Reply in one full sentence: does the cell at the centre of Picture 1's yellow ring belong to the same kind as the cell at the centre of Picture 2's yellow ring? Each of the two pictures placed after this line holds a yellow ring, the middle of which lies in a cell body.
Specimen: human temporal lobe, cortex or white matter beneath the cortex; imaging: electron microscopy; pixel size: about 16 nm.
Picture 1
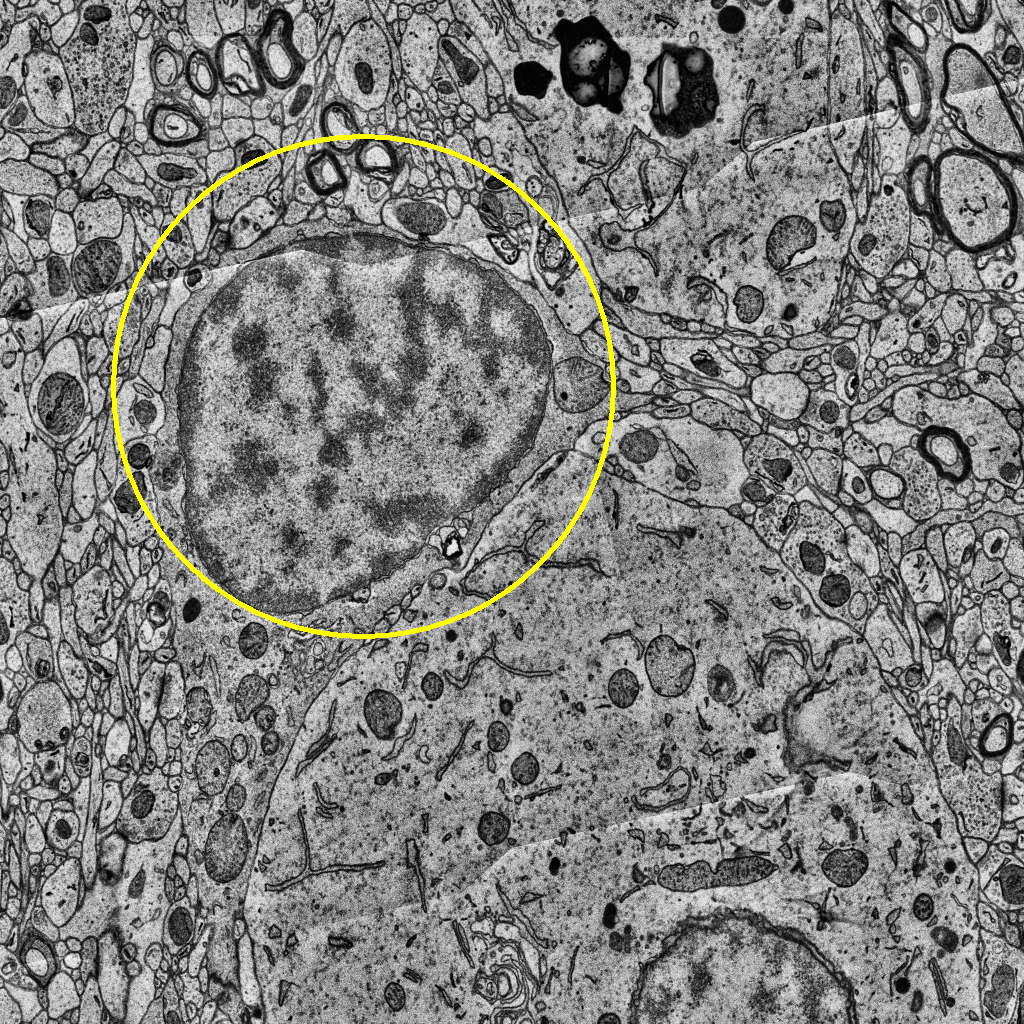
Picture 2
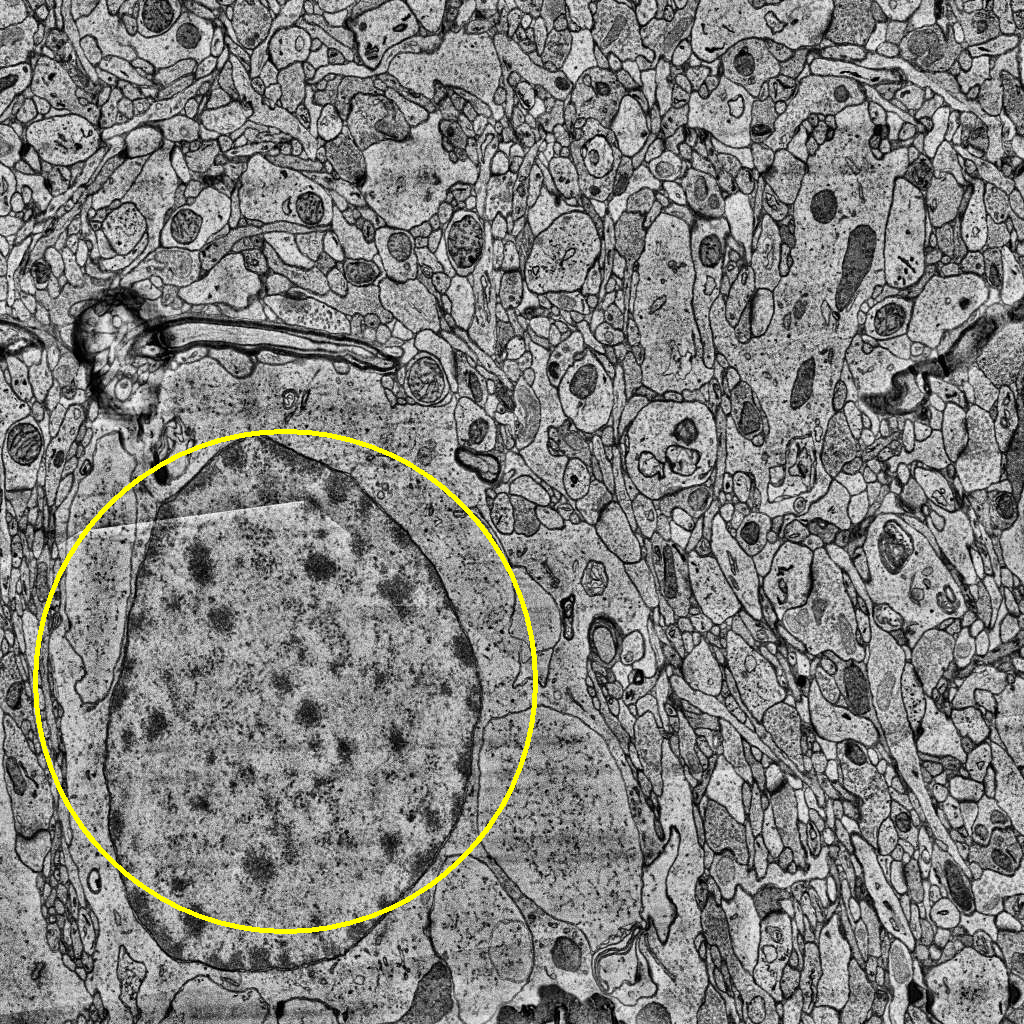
No, the cells at the ring centres in Picture 1 and Picture 2 are of two separate kinds.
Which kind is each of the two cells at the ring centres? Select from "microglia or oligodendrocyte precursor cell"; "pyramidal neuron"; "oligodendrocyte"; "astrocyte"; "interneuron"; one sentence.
The one in the first picture is an oligodendrocyte, while the one in the second is an astrocyte.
